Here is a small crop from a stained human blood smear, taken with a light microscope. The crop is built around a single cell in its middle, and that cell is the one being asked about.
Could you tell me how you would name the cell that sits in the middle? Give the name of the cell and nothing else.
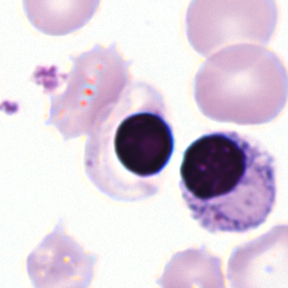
erythroblast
